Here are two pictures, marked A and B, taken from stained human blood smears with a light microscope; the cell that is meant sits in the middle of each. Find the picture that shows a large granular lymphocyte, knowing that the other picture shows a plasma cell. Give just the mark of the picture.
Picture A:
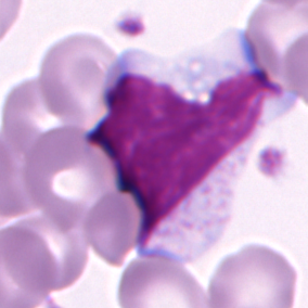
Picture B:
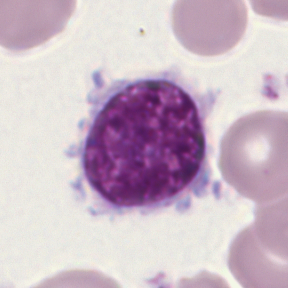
A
